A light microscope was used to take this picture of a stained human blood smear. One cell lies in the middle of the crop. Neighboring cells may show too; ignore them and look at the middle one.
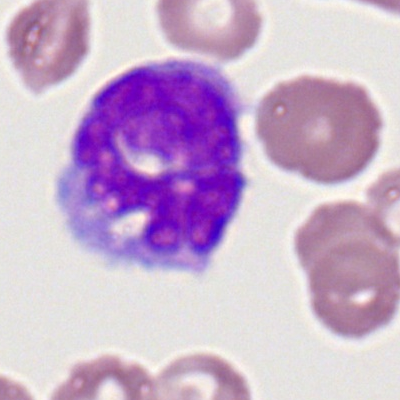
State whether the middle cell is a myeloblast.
no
